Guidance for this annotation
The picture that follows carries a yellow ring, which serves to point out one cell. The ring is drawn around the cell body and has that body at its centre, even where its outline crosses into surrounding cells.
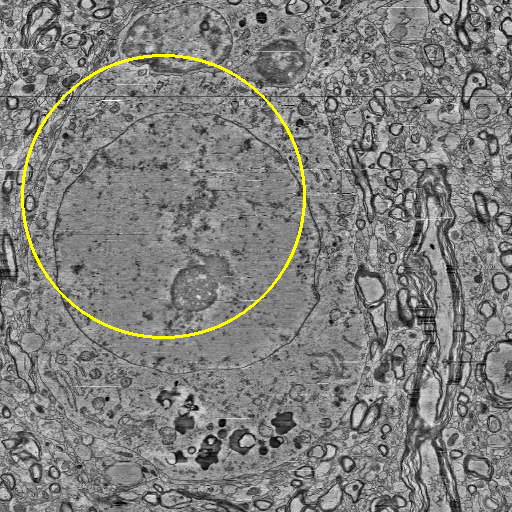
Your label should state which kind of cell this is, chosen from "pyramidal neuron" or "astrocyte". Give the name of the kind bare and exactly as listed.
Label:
pyramidal neuron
